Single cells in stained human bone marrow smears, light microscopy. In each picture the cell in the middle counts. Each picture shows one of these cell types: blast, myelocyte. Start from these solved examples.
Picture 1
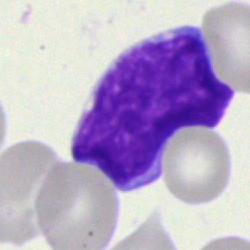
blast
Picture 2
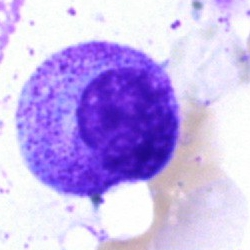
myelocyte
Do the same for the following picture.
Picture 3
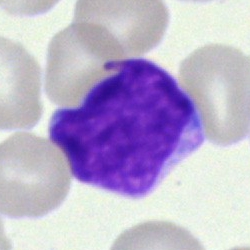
blast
